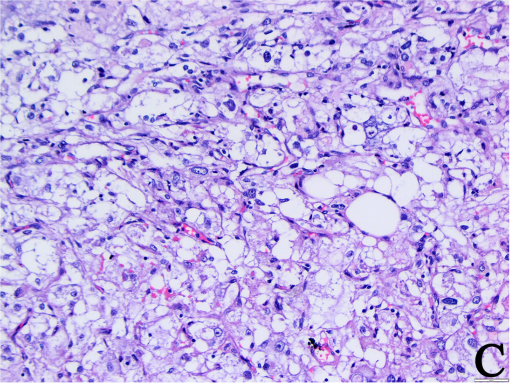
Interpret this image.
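Tumor tissue composed mainly of epithelioid cells with pale to clear, finely vacuolated cytoplasm is shown. The cell borders are faint and the cytoplasm appears wispy and translucent, with lightly pink strands. Scattered larger empty rounded spaces resembling fat vacuoles lie among the cells. Small vessels containing red blood cells run between the cells.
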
